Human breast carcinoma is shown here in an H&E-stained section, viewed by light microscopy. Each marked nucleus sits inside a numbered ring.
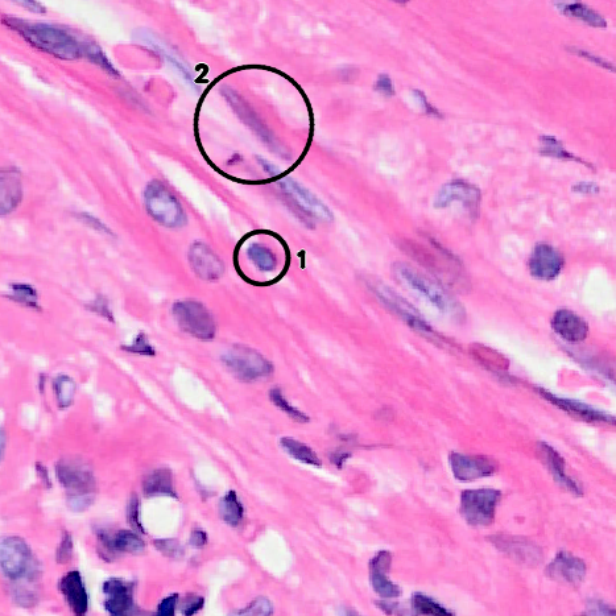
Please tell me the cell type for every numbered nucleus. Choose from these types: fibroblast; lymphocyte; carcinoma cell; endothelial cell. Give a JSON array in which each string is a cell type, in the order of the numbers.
["lymphocyte", "endothelial cell"]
